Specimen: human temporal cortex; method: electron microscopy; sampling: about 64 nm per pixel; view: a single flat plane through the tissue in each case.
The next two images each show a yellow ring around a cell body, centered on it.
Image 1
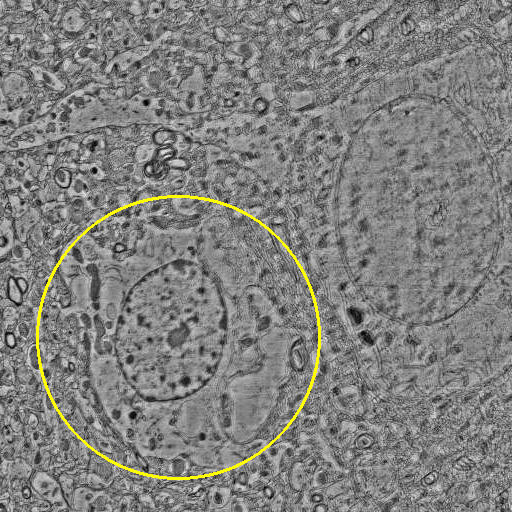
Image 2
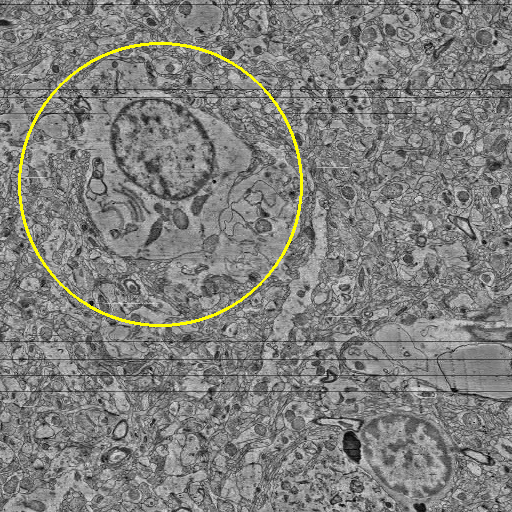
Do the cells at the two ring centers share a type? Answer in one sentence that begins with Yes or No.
Yes, across the two images the cells at the ring centers share one type.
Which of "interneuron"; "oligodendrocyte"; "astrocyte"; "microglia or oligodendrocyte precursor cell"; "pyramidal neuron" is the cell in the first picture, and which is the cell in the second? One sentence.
Each of the two pictures has an astrocyte at the ring centre.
